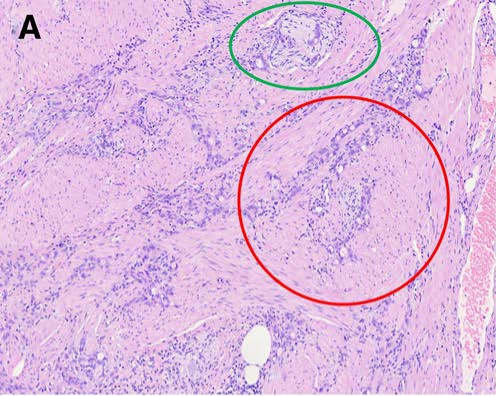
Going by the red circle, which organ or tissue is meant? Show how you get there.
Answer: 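The circle holds pink spindle-cell fascicles. Irregular clusters of darker cells lie between the pink bundles. On this evidence: muscle layers.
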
